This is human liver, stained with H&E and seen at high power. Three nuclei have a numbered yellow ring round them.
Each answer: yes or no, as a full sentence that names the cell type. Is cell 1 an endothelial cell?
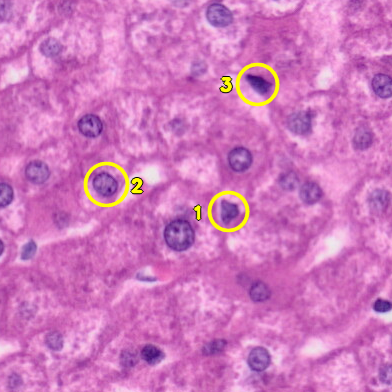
Yes, on this slide, the cell with number 1 is an endothelial cell.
